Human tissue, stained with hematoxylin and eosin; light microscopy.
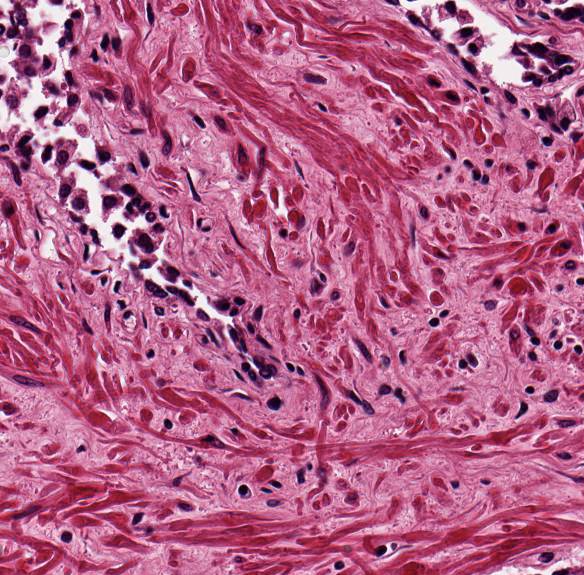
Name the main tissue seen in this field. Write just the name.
fibromuscular stroma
